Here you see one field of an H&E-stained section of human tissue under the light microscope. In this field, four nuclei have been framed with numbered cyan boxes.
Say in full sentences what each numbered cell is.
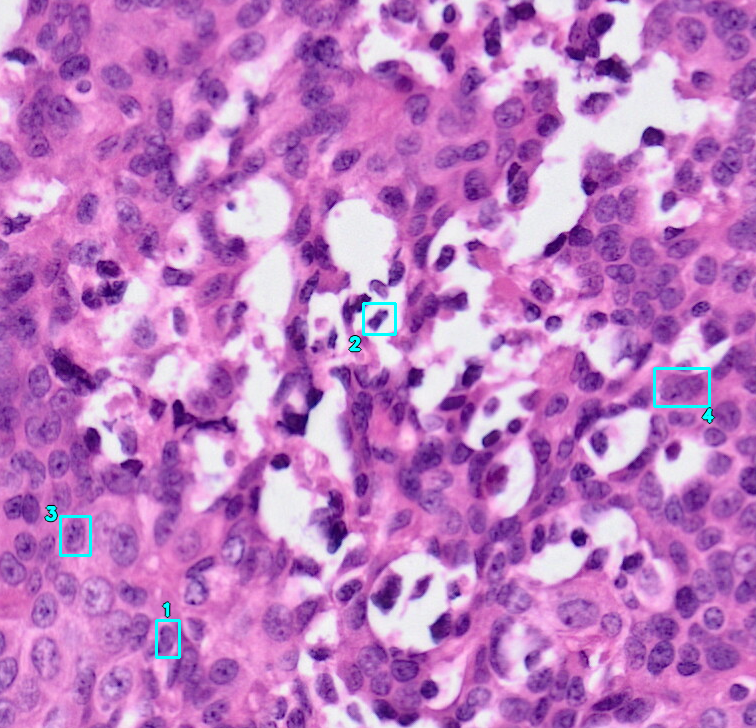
Cell 1 is a macrophage or monocyte. Cells 2, 3 and 4 are carcinoma cells.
